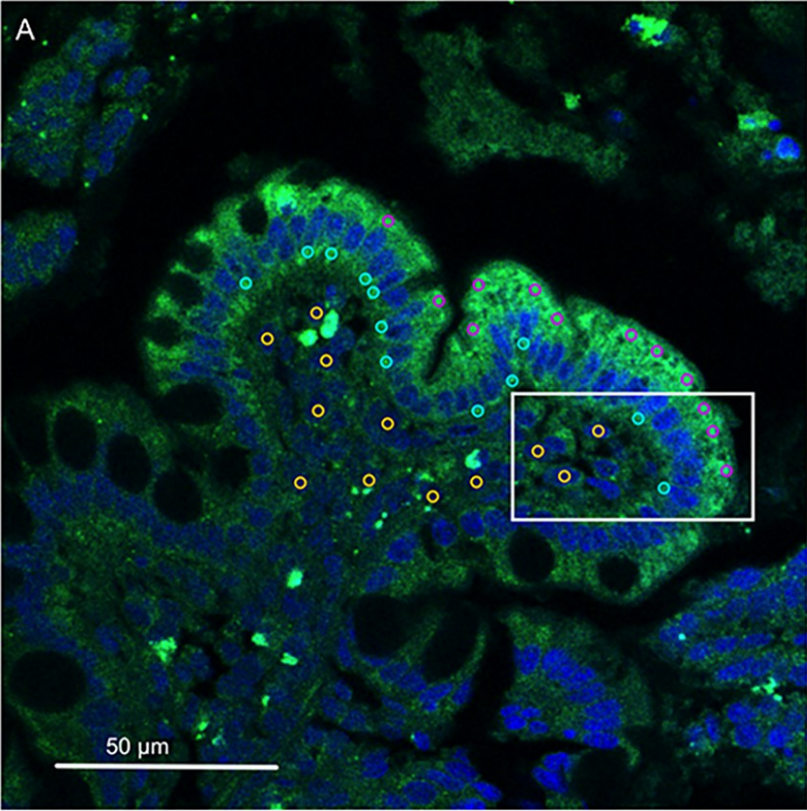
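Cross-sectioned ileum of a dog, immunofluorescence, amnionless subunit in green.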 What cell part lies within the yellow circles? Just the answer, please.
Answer: Nuclei of subepithelial parenchymal cells.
